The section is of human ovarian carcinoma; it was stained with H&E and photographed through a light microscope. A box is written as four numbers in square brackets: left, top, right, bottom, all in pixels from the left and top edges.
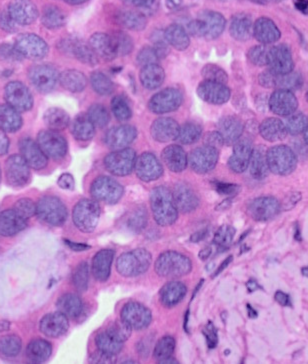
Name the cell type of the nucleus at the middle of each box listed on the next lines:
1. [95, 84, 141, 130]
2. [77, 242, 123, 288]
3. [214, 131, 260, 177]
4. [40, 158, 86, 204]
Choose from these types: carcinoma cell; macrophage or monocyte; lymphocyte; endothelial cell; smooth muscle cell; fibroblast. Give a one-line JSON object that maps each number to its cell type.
{"1": "carcinoma cell", "2": "carcinoma cell", "3": "carcinoma cell", "4": "macrophage or monocyte"}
